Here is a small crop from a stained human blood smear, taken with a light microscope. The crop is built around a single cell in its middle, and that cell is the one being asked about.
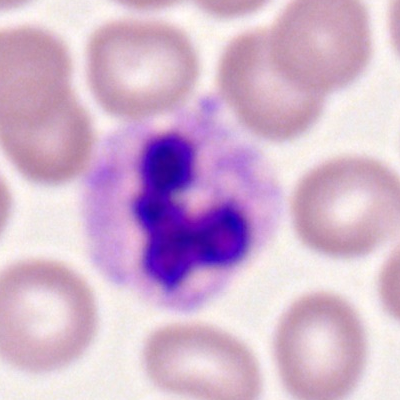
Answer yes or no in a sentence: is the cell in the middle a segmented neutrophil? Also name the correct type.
Yes, the cell at the centre is designated a segmented neutrophil.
